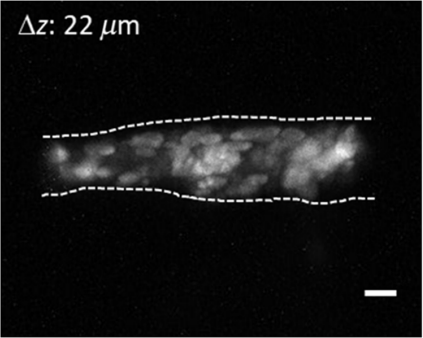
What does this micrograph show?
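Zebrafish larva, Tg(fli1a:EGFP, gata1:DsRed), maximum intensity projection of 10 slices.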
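The vessel runs horizontally across the frame, and its walls are traced by two dashed white lines. Within it, many bright grey-white, oval to rounded cells lie densely packed and partly overlapping, most of them elongated along the length of the vessel. Individual cell outlines can be told apart in many places, while elsewhere the cells merge into brighter clusters. Their brightness varies from cell to cell. Outside the dashed lines the background is dark and shows no cells.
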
